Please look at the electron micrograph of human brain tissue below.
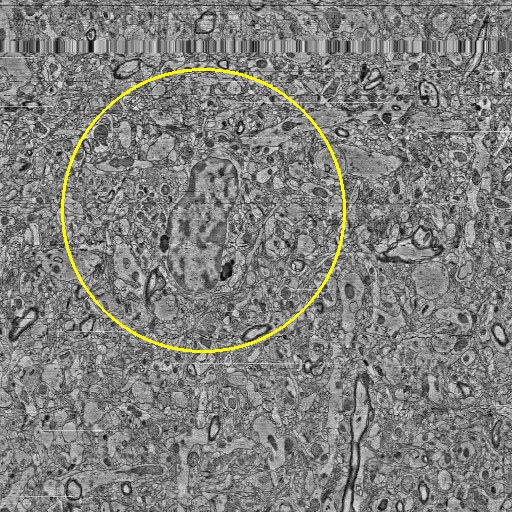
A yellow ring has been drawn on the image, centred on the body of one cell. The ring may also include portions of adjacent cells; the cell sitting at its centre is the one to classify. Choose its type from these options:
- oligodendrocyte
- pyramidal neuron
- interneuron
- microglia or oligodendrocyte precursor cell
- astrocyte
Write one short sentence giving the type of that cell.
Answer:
The cell in the middle of the ring is a microglial cell or oligodendrocyte precursor cell.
